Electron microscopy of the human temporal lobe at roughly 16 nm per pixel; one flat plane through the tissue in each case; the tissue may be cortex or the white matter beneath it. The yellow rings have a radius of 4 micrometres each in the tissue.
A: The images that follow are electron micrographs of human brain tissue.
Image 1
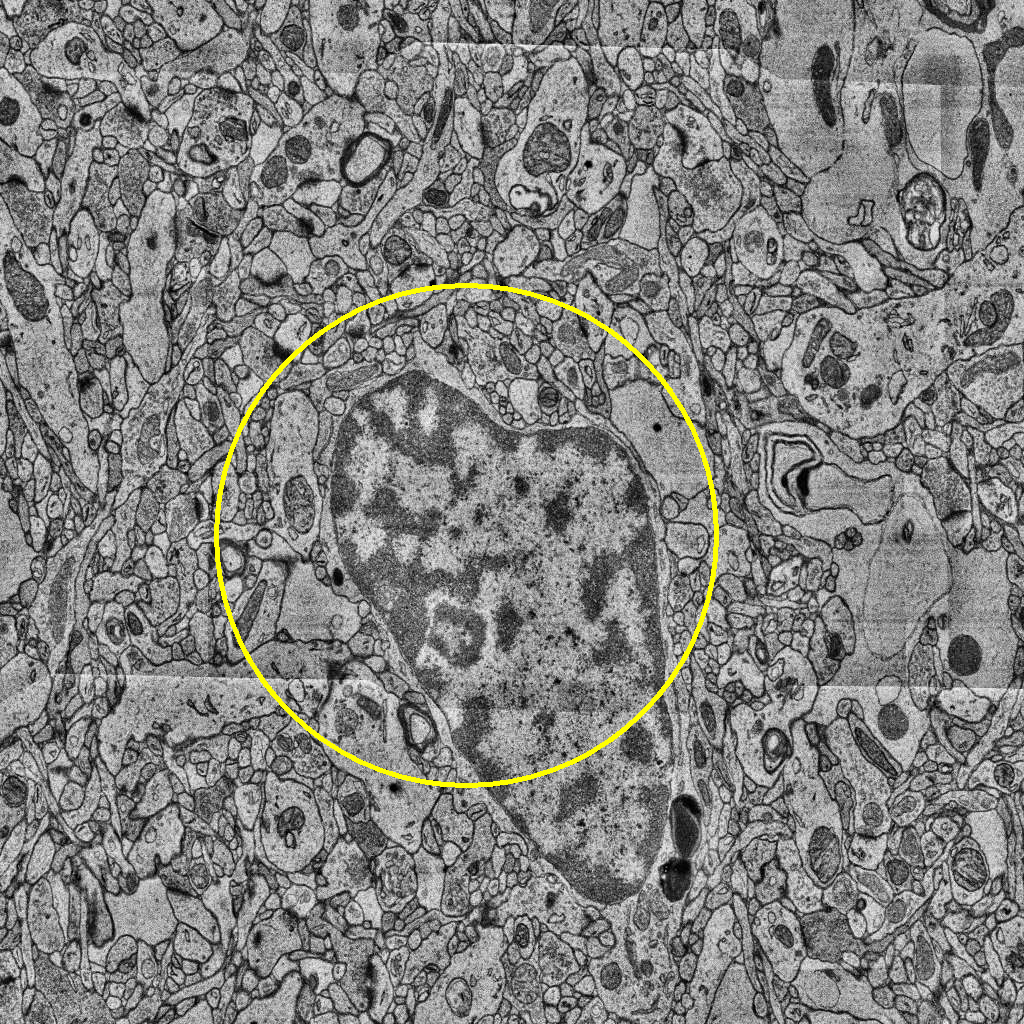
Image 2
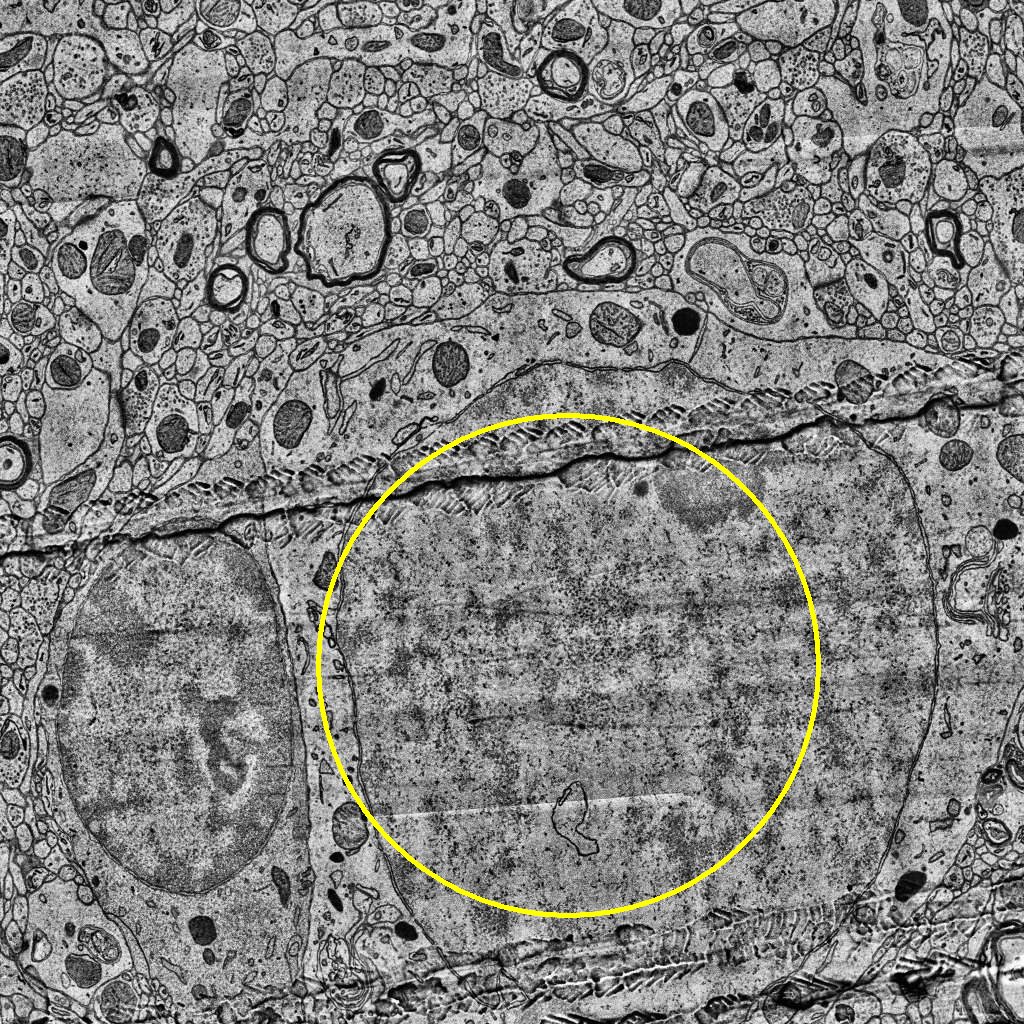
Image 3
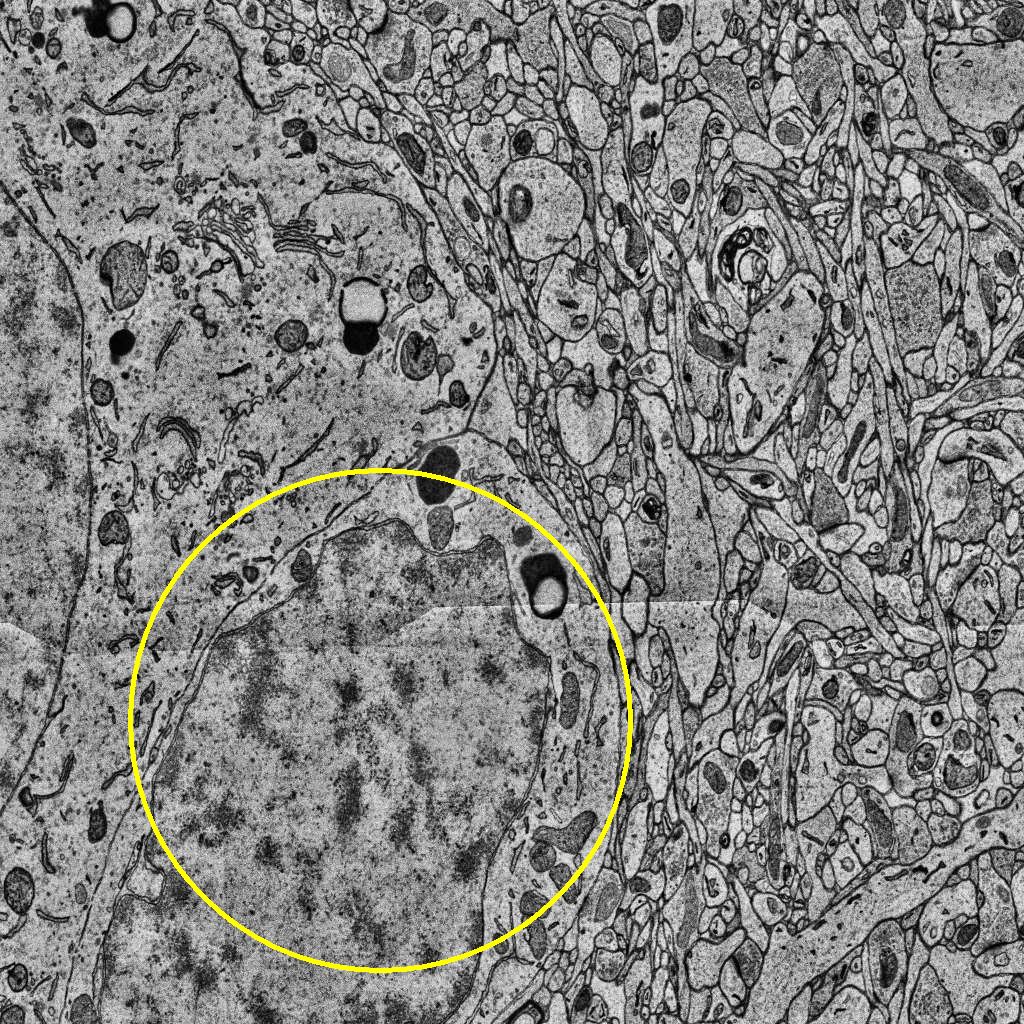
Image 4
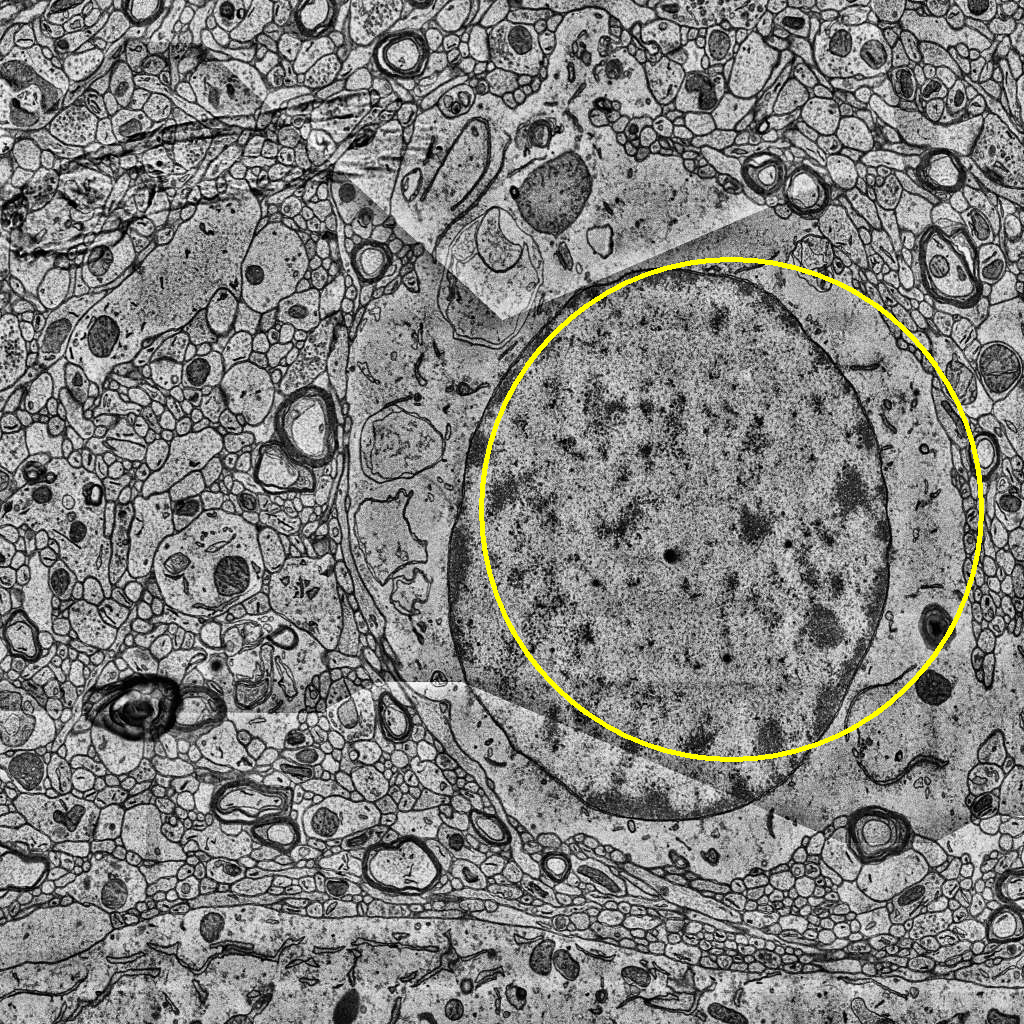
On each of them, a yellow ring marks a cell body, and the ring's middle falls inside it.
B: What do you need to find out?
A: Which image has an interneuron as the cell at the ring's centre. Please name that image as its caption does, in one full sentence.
Image 3 is the one whose ring has its centre inside the sought cell.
